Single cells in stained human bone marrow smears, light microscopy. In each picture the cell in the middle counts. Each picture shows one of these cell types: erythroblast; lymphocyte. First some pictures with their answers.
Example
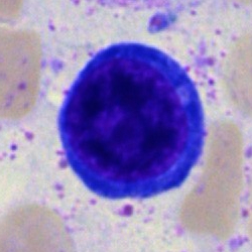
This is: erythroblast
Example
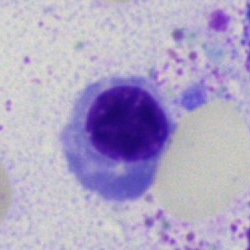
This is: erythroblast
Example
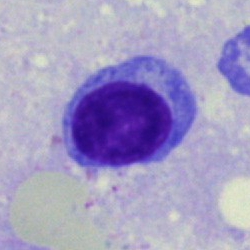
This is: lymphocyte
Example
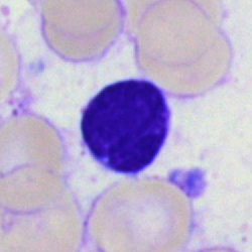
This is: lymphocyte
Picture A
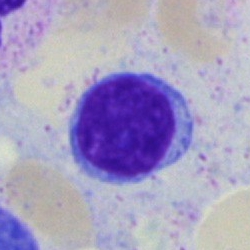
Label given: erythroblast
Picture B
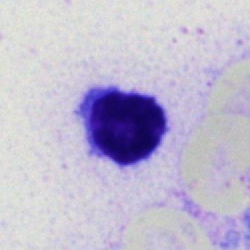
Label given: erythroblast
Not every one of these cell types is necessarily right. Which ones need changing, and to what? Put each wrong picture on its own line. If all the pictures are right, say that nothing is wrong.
Wrong: A (erythroblast); correct: lymphocyte
Wrong: B (erythroblast); correct: lymphocyte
